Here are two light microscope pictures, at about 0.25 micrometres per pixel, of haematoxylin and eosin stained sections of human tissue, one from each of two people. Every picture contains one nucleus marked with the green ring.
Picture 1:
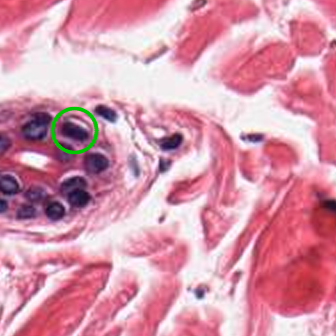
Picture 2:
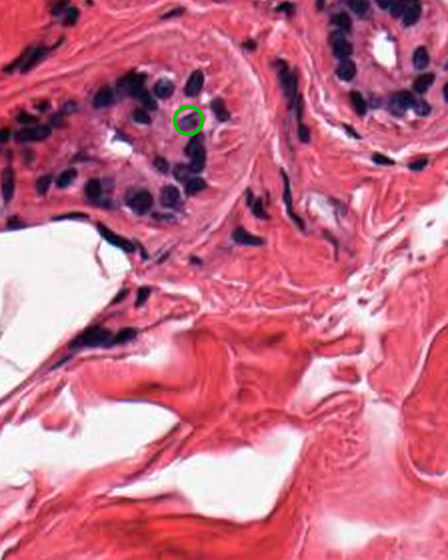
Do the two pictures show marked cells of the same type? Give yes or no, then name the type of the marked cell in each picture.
Yes, both are sweat gland cells.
